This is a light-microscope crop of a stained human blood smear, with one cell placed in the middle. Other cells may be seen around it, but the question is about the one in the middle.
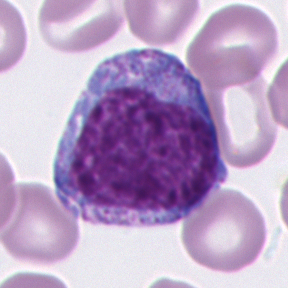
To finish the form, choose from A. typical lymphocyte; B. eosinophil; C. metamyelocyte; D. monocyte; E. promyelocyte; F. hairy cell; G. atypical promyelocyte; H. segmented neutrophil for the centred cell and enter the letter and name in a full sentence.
The centered cell is a promyelocyte, which is why option E is right.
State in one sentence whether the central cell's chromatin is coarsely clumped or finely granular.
In this nucleus, the chromatin is arranged in coarse clumps.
